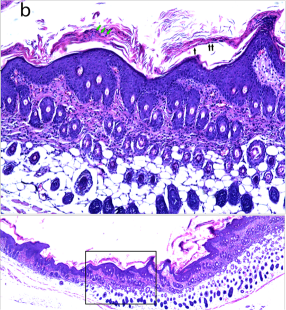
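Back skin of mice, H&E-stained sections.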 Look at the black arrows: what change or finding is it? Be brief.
parakeratosis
